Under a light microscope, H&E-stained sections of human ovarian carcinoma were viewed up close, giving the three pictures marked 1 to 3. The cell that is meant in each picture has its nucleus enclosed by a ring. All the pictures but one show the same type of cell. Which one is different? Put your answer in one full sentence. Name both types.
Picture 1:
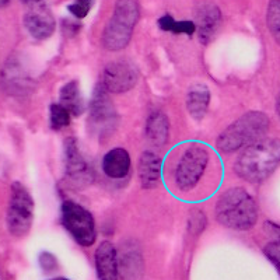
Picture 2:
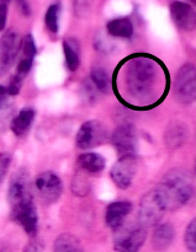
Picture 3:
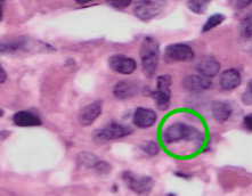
All pictures except 3 show carcinoma cells; picture 3 shows a “macrophage or monocyte”.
